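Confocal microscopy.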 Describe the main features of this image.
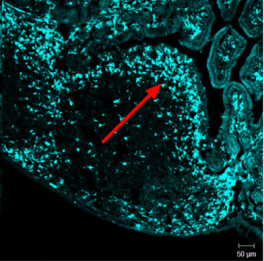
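This shows a Peyer's Patch in the gut wall, a large rounded lymphoid mass lying beneath the epithelium with villi at its side. Numerous bright cyan cells are packed densely in a band along the dome of the mass, just under the epithelial covering. The centre of the mass is comparatively dark, with only sparse bright cells. The neighbouring villi have a thin continuous epithelial lining and a few bright cells in their cores.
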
